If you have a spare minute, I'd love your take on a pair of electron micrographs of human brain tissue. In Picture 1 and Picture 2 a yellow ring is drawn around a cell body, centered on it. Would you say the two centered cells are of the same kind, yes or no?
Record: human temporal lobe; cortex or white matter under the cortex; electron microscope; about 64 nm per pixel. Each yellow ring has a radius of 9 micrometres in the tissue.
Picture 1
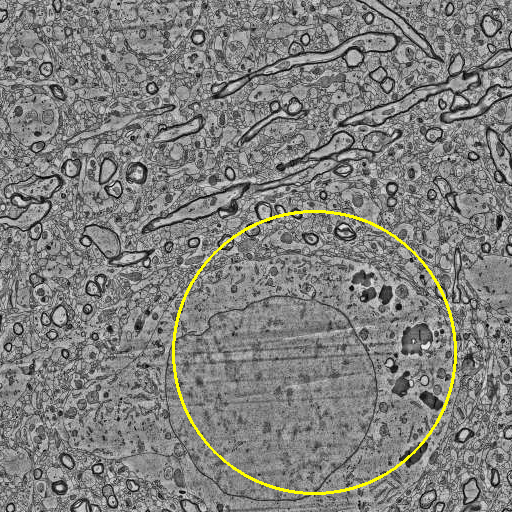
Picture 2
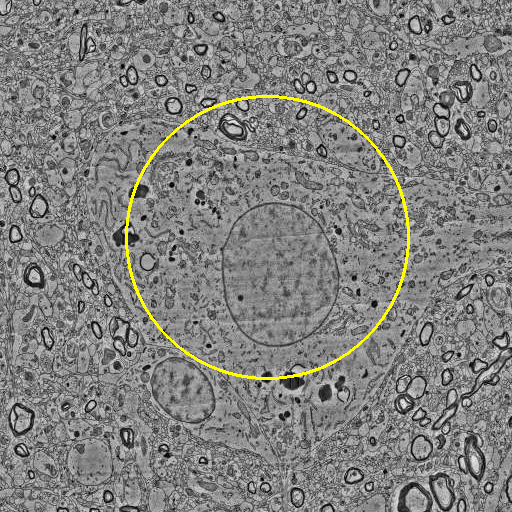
yes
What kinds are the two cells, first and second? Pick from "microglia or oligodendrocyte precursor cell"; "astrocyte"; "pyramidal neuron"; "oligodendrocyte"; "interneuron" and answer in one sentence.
Each of the two rings is centred on a pyramidal neuron.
